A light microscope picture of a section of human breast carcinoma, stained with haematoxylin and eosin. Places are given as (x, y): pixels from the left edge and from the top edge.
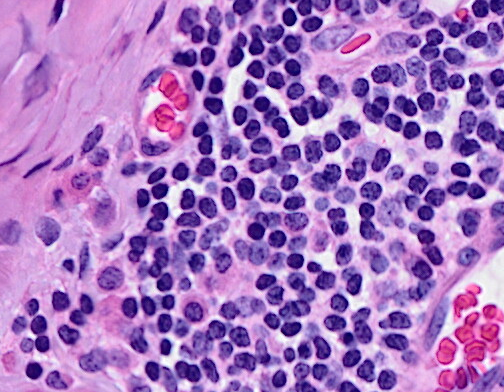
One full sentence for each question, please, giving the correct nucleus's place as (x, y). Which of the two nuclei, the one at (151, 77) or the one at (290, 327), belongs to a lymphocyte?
The nucleus whose cell is a lymphocyte is the one at (290, 327).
